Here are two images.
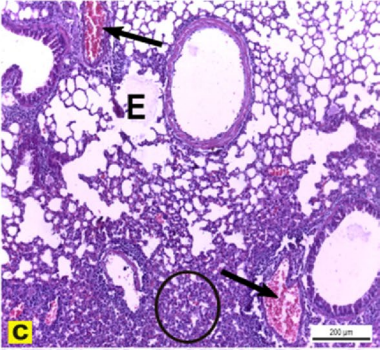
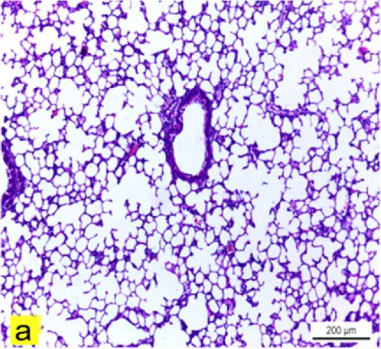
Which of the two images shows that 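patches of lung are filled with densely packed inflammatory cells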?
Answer: The first image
